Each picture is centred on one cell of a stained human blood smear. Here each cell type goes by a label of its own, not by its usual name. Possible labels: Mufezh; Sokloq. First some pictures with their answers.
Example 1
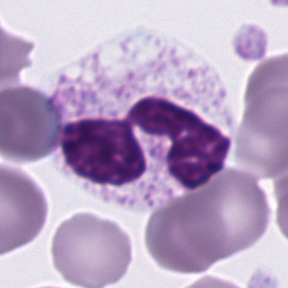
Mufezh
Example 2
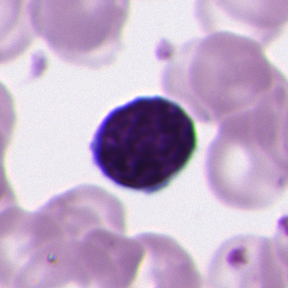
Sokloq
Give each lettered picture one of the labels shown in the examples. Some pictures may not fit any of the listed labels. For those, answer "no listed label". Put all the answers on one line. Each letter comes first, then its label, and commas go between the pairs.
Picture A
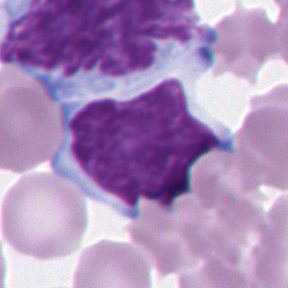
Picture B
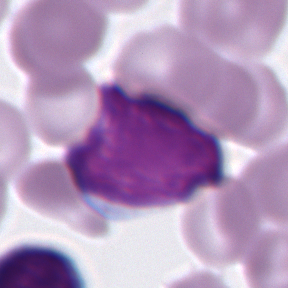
A Sokloq, B Sokloq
